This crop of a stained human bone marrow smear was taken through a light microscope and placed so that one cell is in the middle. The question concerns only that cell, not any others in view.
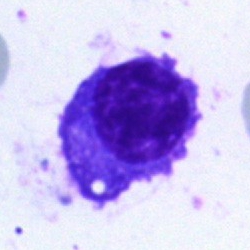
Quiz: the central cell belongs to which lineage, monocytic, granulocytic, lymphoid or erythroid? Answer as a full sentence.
It is of the lymphoid lineage that the central cell is a member.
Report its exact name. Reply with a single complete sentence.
Seen at the centre of the crop is a plasma cell.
